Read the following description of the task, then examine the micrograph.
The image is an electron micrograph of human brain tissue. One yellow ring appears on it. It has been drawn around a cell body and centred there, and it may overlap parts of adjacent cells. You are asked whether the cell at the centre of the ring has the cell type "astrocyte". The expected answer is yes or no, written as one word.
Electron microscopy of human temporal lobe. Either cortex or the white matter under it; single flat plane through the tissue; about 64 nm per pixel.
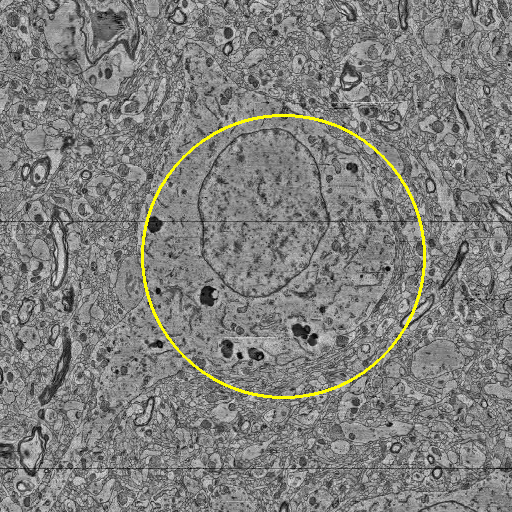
no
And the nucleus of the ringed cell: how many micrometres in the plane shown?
The nucleus comes to roughly 11 by 9 micrometres in this plane.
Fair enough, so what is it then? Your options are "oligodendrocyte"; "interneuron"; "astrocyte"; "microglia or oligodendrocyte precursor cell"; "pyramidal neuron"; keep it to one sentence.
Instead, what sits at the centre of the ring is a pyramidal neuron.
